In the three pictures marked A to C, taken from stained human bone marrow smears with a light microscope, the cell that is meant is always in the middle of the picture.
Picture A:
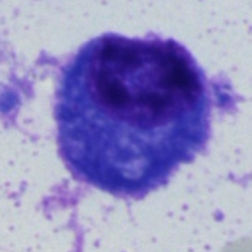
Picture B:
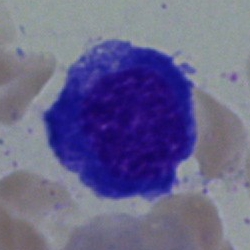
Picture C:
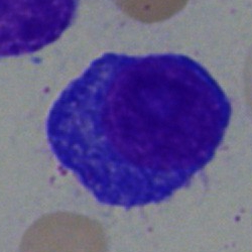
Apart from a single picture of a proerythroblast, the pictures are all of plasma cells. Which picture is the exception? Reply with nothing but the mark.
B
